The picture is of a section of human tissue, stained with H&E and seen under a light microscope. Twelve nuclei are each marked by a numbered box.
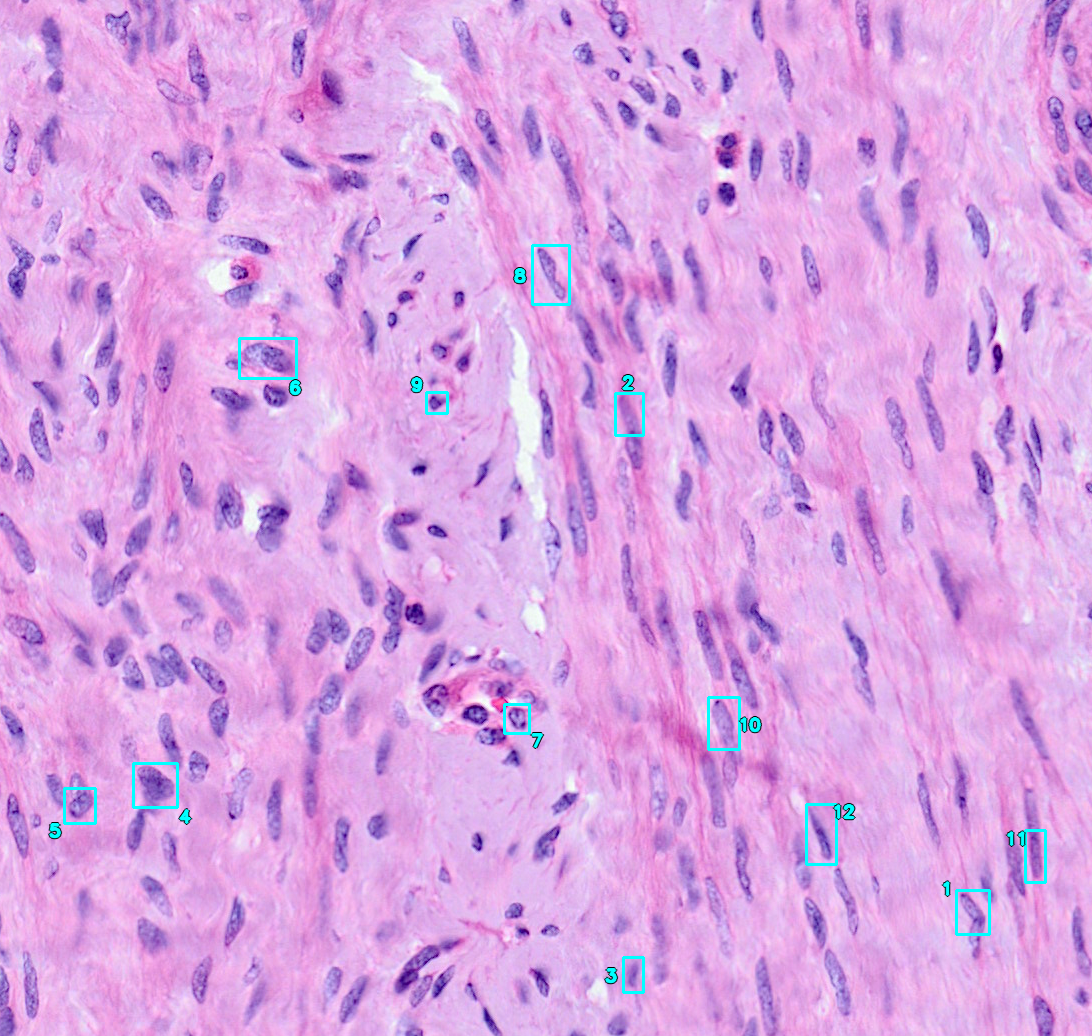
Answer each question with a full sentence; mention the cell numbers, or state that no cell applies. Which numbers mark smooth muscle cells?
The cells numbered 1, 2, 5, 8, 9, 10 and 11 are identified as smooth muscle cells.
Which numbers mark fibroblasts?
The cells carrying the numbers 3, 4 and 12 are fibroblasts.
